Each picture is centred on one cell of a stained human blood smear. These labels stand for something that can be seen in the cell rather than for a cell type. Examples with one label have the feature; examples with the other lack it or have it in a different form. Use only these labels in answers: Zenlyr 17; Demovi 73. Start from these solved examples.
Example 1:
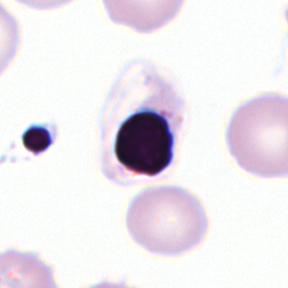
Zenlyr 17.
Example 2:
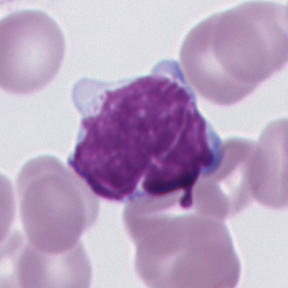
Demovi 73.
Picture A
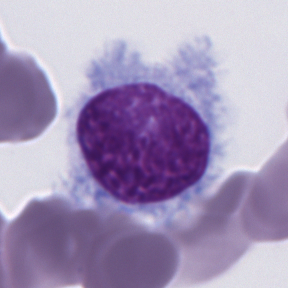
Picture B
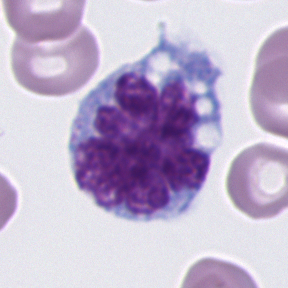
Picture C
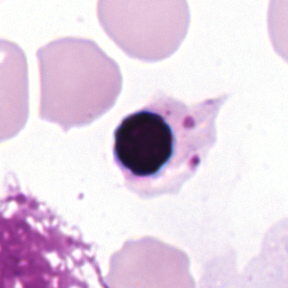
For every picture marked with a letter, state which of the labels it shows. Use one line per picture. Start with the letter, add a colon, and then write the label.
A: Zenlyr 17.
B: Demovi 73.
C: Zenlyr 17.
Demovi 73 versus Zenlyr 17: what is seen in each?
In Demovi 73: lobed nucleus. In Zenlyr 17: single compact nucleus.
